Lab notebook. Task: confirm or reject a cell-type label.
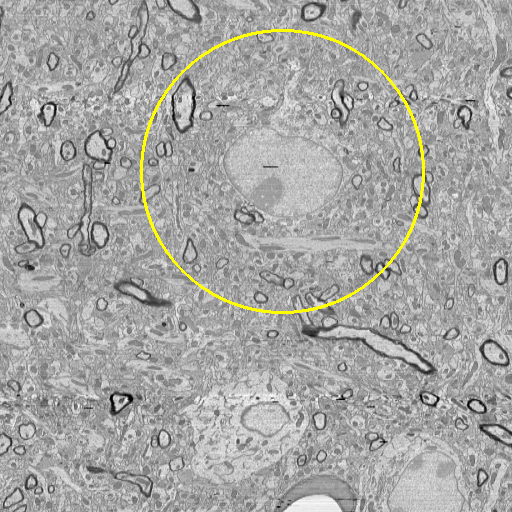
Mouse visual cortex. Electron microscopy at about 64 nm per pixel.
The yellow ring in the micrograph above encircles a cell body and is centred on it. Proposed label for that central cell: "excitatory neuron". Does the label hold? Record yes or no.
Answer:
no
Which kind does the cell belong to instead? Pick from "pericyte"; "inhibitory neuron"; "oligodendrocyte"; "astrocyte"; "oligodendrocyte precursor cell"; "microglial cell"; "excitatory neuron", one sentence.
What the ring is centred on is an astrocyte.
